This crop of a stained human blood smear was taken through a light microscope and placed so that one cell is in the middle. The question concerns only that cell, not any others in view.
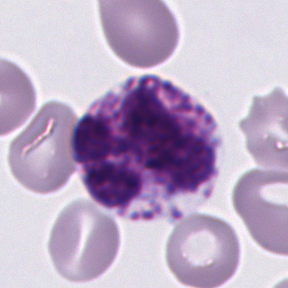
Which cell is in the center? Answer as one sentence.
For this crop, the central cell is a basophil.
